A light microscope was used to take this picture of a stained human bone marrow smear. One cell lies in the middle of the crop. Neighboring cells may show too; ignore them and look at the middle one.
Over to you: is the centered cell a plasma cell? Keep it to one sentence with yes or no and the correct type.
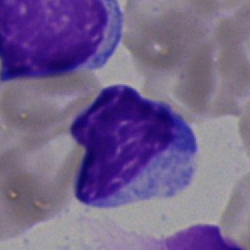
No, it is a lymphocyte rather than a plasma cell that the middle of the crop contains.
